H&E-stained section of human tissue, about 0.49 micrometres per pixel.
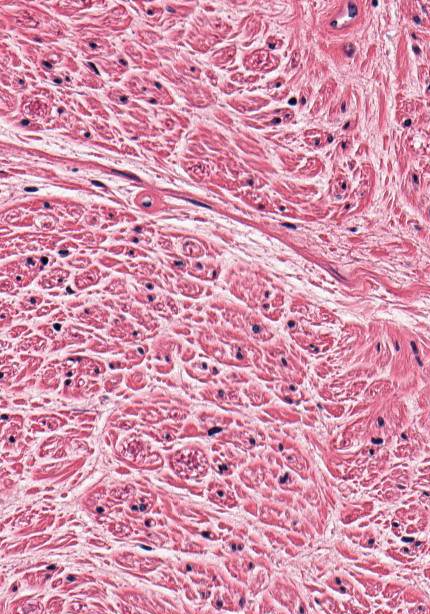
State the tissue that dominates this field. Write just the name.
nerve fascicle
